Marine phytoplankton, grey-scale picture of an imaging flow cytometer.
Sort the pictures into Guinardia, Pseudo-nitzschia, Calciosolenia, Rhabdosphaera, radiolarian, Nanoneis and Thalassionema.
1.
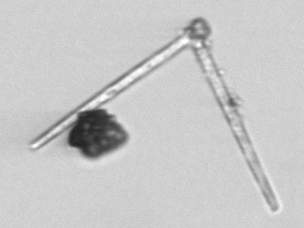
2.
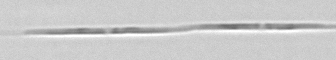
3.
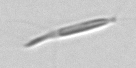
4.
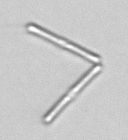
Thalassionema: 1
Pseudo-nitzschia: 2
Calciosolenia: 3
Nanoneis: 4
